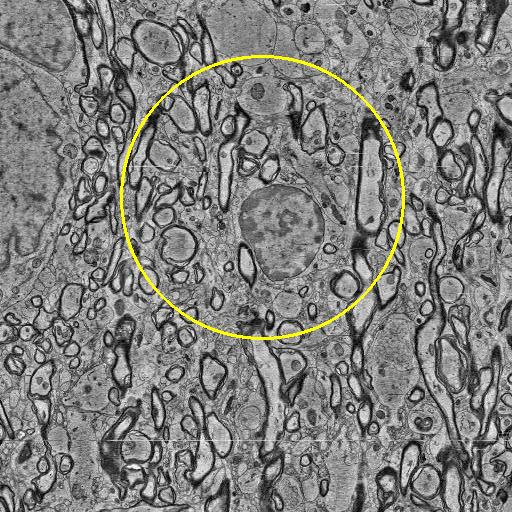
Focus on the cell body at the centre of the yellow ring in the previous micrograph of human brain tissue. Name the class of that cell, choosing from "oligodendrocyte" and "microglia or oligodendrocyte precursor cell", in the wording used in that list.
microglia or oligodendrocyte precursor cell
